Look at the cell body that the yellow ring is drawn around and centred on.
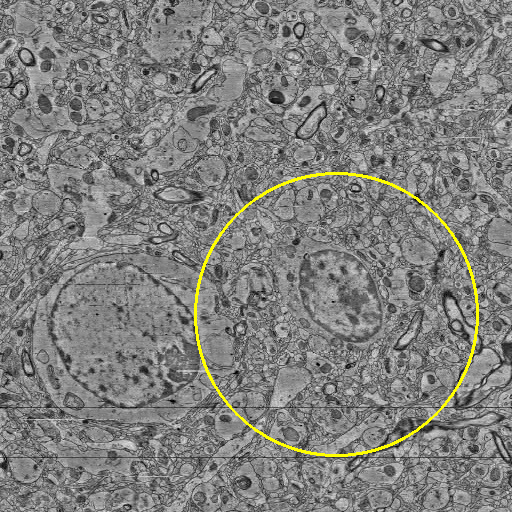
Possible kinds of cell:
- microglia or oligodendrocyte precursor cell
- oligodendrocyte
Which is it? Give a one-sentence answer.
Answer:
The centred cell body is that of an oligodendrocyte.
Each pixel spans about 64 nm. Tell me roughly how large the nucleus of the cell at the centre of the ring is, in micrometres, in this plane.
About 7 by 5 micrometers for the nucleus, in this plane.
